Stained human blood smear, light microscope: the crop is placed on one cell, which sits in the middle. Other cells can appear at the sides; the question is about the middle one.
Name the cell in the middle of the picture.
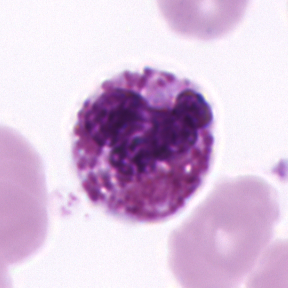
eosinophil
